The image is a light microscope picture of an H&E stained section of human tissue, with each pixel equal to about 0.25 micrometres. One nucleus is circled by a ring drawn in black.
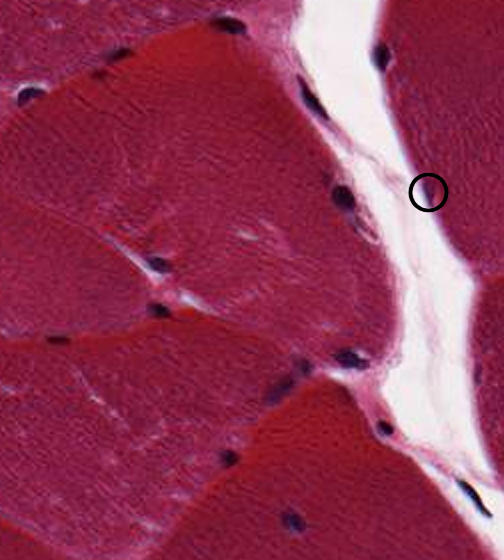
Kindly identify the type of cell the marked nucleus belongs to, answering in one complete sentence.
Here the marked nucleus belongs to a skeletal muscle fibre.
